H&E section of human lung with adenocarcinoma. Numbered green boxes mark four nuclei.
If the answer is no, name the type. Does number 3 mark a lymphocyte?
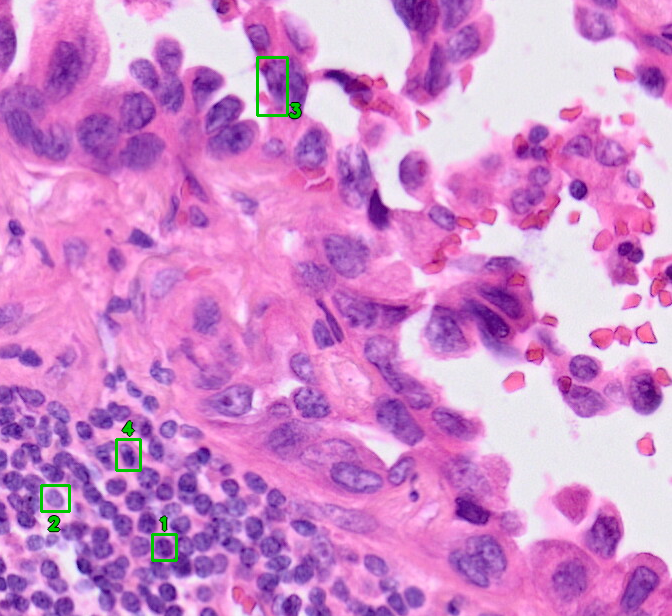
No, it is a carcinoma cell.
